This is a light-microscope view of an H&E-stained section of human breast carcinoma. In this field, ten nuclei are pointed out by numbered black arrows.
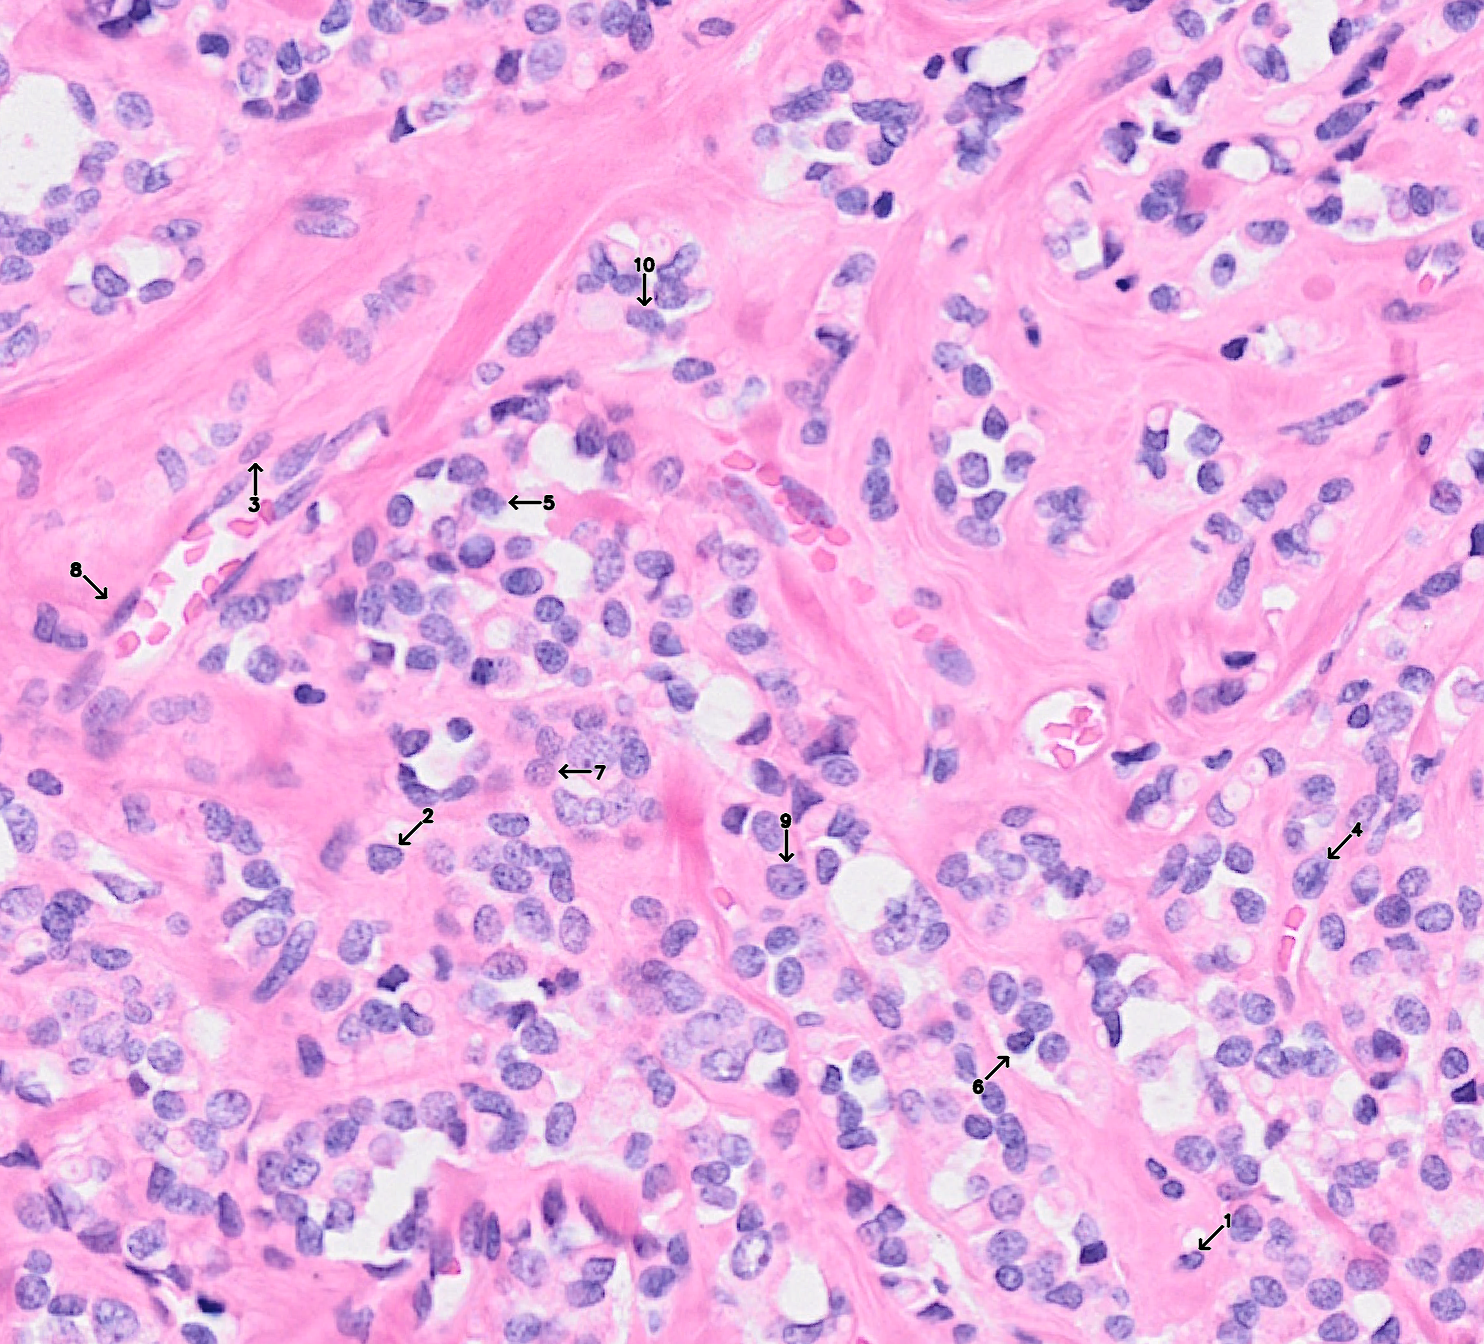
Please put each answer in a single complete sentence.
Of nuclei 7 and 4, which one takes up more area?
Nucleus 4 covers more area, about 1.5 times as much as nucleus 7.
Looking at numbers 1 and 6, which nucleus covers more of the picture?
At about 1.5 times the area of nucleus 1, nucleus 6 is the larger of the two.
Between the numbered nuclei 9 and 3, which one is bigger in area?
Number 9 is larger; its area is about 2 times that of number 3.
